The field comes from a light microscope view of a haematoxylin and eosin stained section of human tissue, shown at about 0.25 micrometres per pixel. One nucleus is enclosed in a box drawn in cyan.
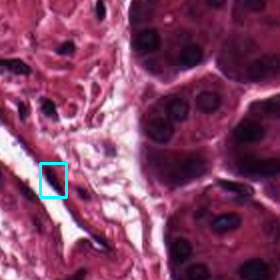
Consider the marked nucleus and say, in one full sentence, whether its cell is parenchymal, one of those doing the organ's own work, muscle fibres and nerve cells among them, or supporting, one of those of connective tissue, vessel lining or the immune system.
The marked nucleus is attributed to a supporting cell.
